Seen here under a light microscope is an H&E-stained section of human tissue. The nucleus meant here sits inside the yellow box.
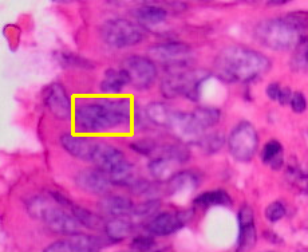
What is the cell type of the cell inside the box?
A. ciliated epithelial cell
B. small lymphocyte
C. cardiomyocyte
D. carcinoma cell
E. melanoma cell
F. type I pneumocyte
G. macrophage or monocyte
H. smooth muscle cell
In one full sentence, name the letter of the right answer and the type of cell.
Among the choices, option A is correct, the cell inside the box being a ciliated epithelial cell.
